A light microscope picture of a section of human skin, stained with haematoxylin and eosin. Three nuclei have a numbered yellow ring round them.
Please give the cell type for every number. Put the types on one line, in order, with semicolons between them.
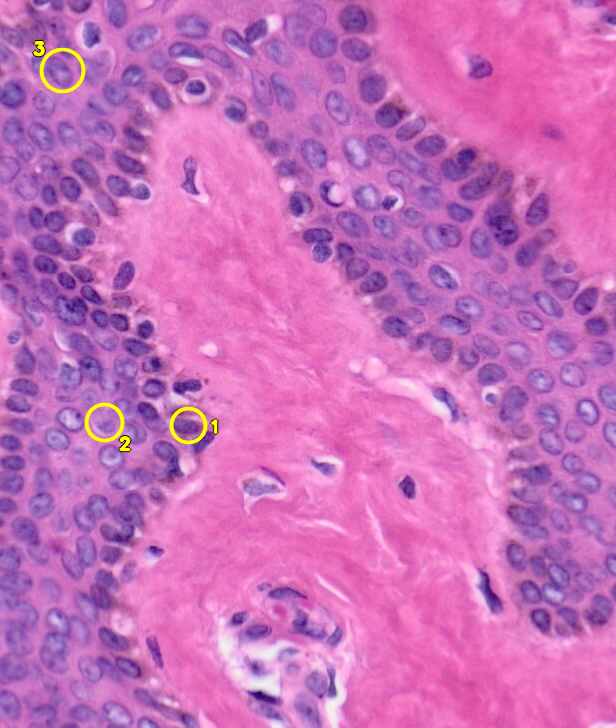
basal keratinocyte; suprabasal keratinocyte; suprabasal keratinocyte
